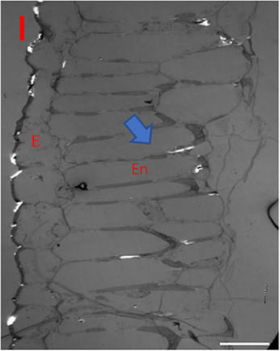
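This electron micrograph shows an anther wall made of an outer epidermis and an inner layer of endothecium cells. The epidermis is a thin, irregular layer running along the left edge. The endothecium cells are elongated, roughly rectangular and lined up side by side across the wall, their interiors mostly pale and empty. Thin bright streaks run along several of the walls between neighbouring cells.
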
